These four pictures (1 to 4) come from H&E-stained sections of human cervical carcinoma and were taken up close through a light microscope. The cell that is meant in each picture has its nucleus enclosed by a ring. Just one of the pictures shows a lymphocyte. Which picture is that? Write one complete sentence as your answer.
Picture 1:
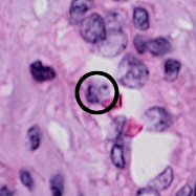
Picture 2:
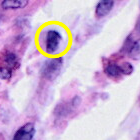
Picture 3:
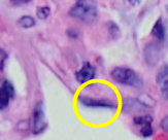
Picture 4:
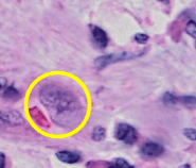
It is picture 2 that shows the lymphocyte.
